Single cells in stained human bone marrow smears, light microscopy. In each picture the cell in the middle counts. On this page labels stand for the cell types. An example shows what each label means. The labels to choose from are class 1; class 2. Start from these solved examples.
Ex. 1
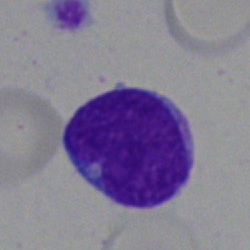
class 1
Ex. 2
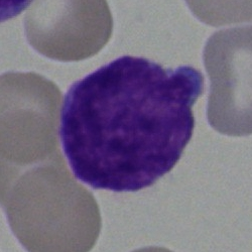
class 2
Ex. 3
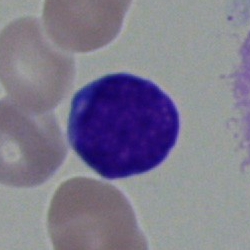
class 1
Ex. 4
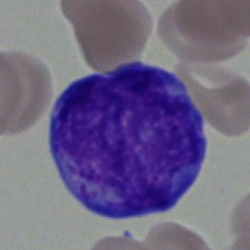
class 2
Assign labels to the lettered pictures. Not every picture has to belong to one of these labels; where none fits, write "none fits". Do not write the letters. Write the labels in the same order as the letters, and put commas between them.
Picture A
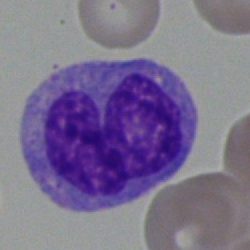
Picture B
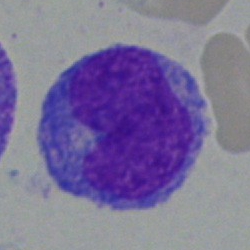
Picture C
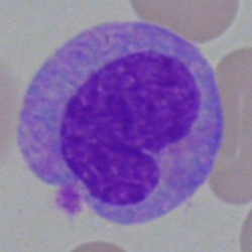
none fits, class 2, none fits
